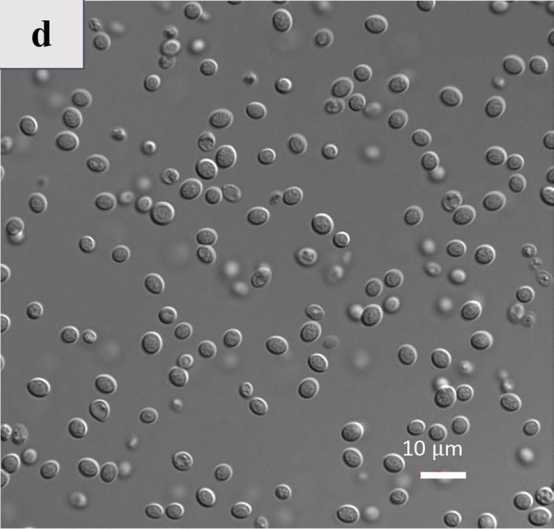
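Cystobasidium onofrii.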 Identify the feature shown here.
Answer: ovoid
